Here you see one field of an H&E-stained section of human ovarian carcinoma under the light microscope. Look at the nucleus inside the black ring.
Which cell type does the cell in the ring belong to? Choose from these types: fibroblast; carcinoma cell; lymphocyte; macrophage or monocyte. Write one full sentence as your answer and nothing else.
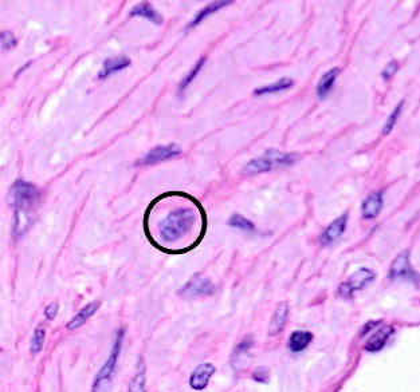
Considered by cell type, the cell in the ring is a macrophage or monocyte.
